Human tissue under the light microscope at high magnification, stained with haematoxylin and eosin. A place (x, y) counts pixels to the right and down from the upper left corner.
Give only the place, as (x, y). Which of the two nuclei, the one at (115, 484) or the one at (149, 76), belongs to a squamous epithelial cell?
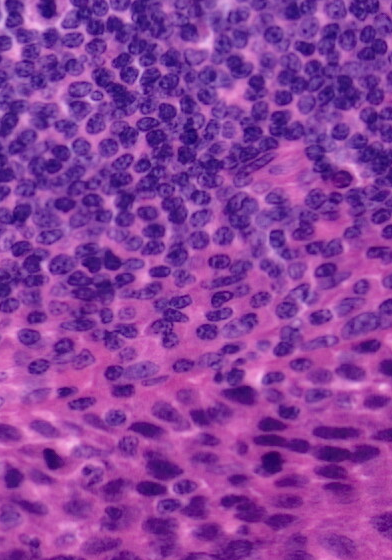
(115, 484)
